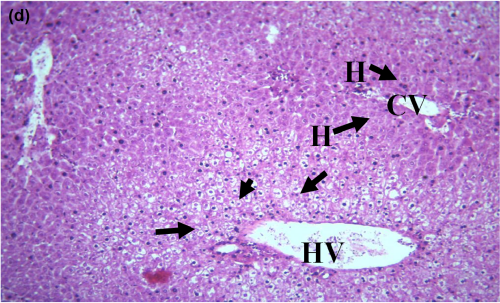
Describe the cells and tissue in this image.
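This is liver parenchyma stained in pink and purple, showing hepatocytes around a central vein and a larger vessel. The hepatocytes are polygonal, with dark round nuclei. The hepatocytes form cords separated by narrow sinusoidal spaces. The central vein and the larger vessel have clear lumens containing a few scattered cells. A small red patch appears in the lower part of the field.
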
